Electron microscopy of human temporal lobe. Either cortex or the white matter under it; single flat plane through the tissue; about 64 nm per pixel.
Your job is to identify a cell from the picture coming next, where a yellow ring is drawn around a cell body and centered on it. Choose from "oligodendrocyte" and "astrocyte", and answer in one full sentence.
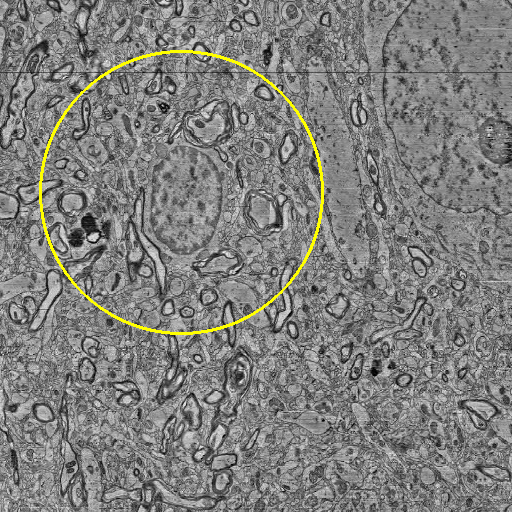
Centered in the yellow ring of the picture is the body of an oligodendrocyte.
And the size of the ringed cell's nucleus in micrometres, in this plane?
In this plane, the nucleus is roughly 7 by 5 micrometres.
